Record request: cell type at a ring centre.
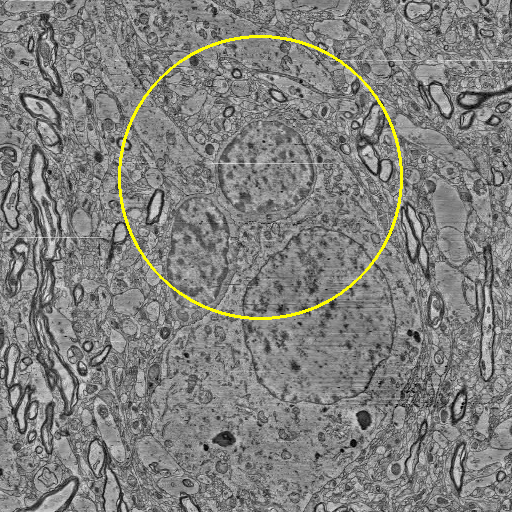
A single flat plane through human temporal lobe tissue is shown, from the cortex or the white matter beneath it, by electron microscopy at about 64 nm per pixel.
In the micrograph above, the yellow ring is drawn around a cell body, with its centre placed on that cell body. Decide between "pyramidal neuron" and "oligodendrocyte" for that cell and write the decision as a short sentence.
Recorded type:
The cell centred in the yellow ring is an oligodendrocyte.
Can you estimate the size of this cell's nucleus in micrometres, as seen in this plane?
The nucleus comes to roughly 6 micrometres across in this plane.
